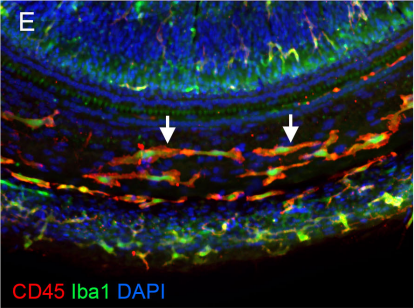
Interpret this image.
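This is a flat, whole-mount view of the cochlear duct showing macrophages scattered across the osseous spiral lamina, the basilar membrane and the lateral wall. On the basilar membrane band the macrophages are long, spindle-shaped cells with slender processes, lying roughly parallel to each other and labelled in both red and green so that they appear orange. Blue nuclei are densely packed throughout the surrounding tissue.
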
